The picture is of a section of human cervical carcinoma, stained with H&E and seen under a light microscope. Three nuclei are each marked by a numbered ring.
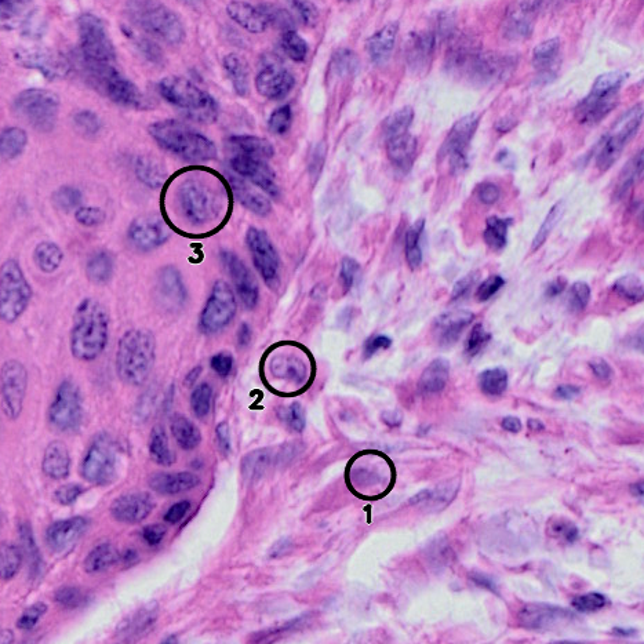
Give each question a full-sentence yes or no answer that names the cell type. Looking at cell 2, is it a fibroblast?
No, the cell given the number 2 is a macrophage or monocyte, so not a fibroblast.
